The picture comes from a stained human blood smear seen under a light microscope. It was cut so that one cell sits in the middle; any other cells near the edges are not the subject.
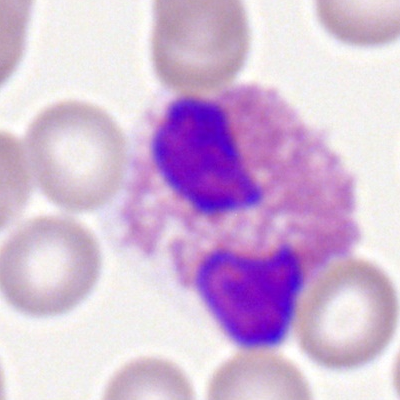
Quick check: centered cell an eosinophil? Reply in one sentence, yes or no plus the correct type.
Yes, the middle cell is properly termed an eosinophil.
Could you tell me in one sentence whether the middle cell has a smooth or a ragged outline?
Its outline is ragged or drawn out into projections, not smooth.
